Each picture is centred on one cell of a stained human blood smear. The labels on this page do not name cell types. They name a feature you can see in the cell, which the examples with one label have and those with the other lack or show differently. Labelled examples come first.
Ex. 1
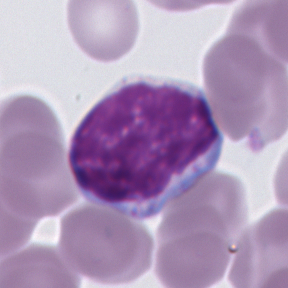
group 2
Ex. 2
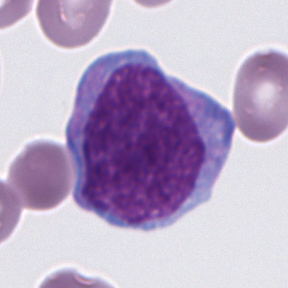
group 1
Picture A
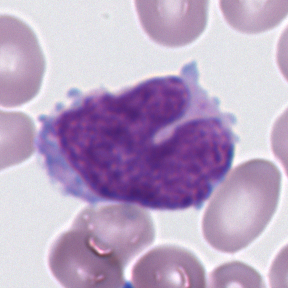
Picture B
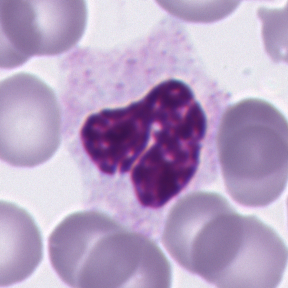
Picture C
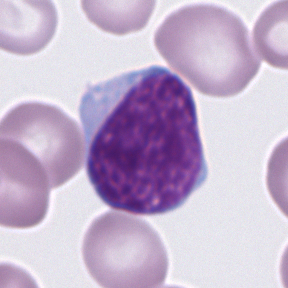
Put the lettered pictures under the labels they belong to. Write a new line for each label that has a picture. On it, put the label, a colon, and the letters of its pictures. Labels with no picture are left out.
group 1: A, B, C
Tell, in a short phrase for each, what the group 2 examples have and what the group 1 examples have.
group 2: smooth outline; group 1: ragged outline or projections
